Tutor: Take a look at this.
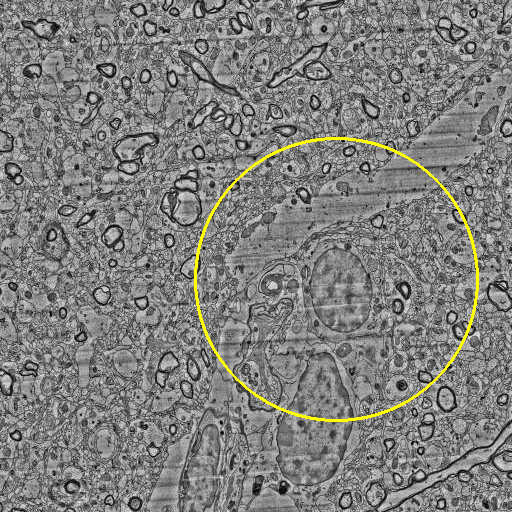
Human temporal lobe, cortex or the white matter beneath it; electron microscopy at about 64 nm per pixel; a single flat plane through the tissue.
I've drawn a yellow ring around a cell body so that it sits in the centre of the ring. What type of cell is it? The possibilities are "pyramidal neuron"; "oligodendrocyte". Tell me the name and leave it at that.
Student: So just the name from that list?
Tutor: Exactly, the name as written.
oligodendrocyte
